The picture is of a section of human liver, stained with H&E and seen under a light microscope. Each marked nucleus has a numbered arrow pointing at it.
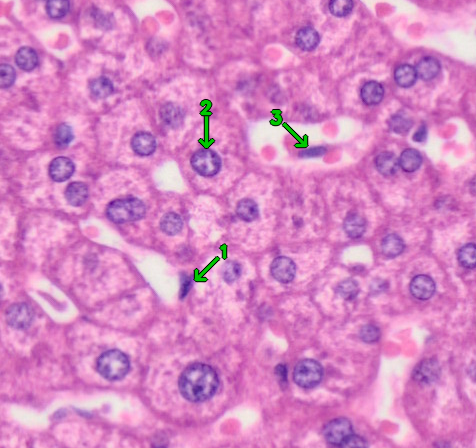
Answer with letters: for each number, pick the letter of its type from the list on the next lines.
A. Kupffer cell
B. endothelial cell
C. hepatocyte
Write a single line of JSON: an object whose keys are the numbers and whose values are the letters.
{"1": "B", "2": "C", "3": "A"}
